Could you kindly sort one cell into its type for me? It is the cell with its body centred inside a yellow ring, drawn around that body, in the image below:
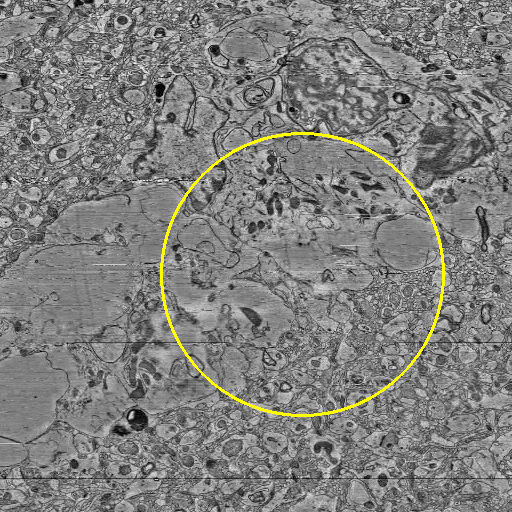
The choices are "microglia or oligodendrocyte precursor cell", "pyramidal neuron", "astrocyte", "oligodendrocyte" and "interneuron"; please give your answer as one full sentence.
The cell whose body lies centred in the yellow ring here is a microglial cell or oligodendrocyte precursor cell.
